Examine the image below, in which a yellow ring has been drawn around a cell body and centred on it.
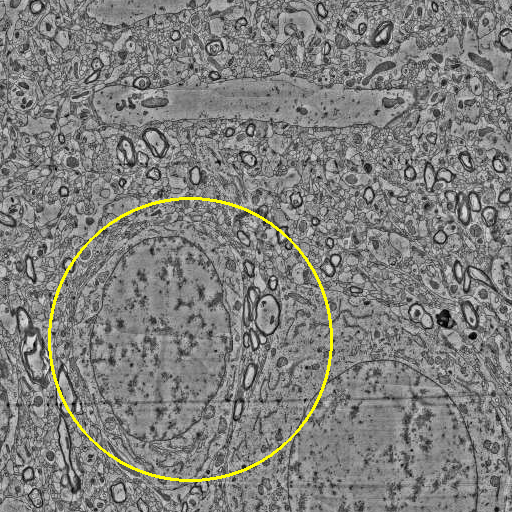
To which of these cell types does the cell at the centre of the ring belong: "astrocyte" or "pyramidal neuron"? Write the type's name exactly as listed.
pyramidal neuron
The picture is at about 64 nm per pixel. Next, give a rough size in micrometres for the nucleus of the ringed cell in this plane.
The ringed cell's nucleus is about 13 micrometres long and 9 micrometres wide in this plane.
